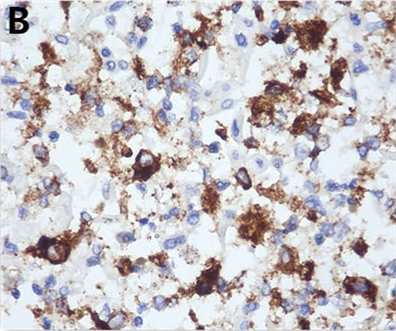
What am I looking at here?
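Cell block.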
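Dispersed epithelioid cells lie in a loose, pale background. Many of the larger cells show brown granular staining filling their abundant cytoplasm, around round to oval blue nuclei. Other smaller cells show only blue nuclei without brown cytoplasm. Fine brown granular material is also scattered between the cells.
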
